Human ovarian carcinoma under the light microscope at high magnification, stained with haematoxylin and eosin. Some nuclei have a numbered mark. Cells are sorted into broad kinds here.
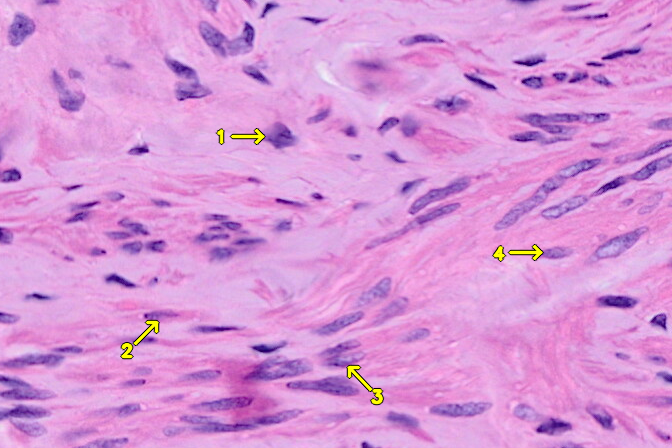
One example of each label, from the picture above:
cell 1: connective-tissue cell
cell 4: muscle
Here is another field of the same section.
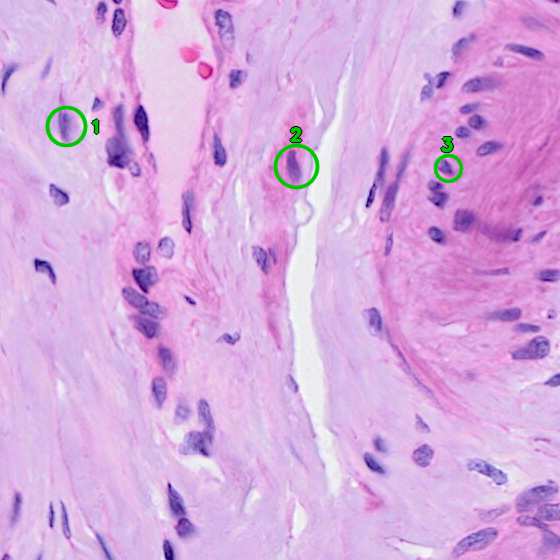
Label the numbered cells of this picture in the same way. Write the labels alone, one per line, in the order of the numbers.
connective-tissue cell
muscle
muscle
